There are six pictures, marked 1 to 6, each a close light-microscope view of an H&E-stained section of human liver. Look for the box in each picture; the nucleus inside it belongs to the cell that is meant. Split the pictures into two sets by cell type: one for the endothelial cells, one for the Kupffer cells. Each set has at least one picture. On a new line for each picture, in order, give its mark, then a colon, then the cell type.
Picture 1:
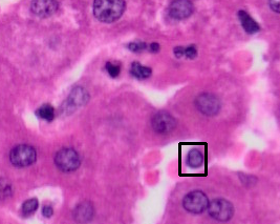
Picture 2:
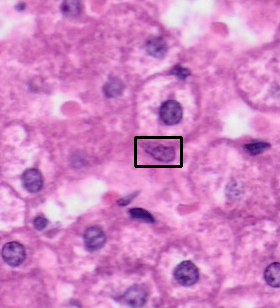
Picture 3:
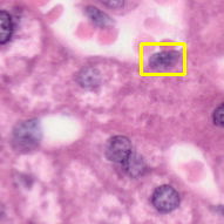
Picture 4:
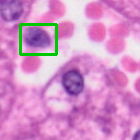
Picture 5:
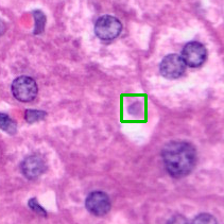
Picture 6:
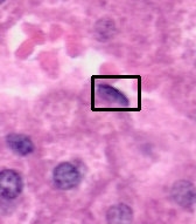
1: Kupffer cell
2: Kupffer cell
3: endothelial cell
4: Kupffer cell
5: Kupffer cell
6: endothelial cell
